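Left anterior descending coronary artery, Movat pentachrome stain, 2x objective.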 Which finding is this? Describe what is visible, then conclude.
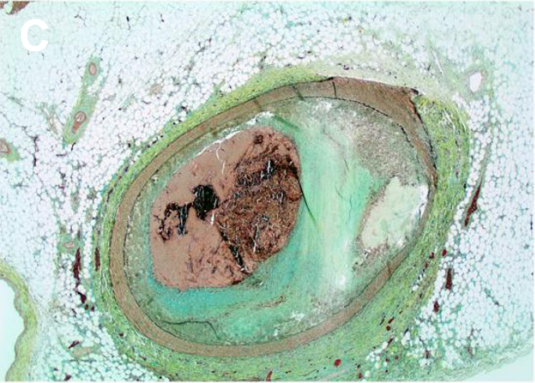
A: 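The inner layer of the vessel wall is greatly thickened by pale blue-green material. A pale, cleft-like area lies within the thickened inner wall.
Conclusion: atherosclerosis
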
